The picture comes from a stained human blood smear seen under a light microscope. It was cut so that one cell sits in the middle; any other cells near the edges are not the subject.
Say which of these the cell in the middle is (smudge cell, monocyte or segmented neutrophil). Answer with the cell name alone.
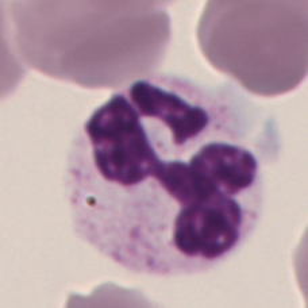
segmented neutrophil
